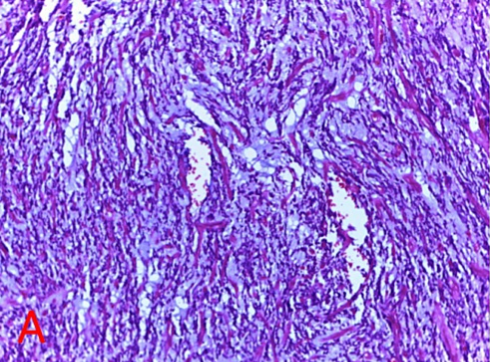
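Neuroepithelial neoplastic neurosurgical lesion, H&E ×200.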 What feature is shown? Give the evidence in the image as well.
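Microcystic spaces. Small, elongated, clear, empty spaces lie among the tissue. The surrounding tissue is made of fine, wavy, fibre-like strands with elongated nuclei.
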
